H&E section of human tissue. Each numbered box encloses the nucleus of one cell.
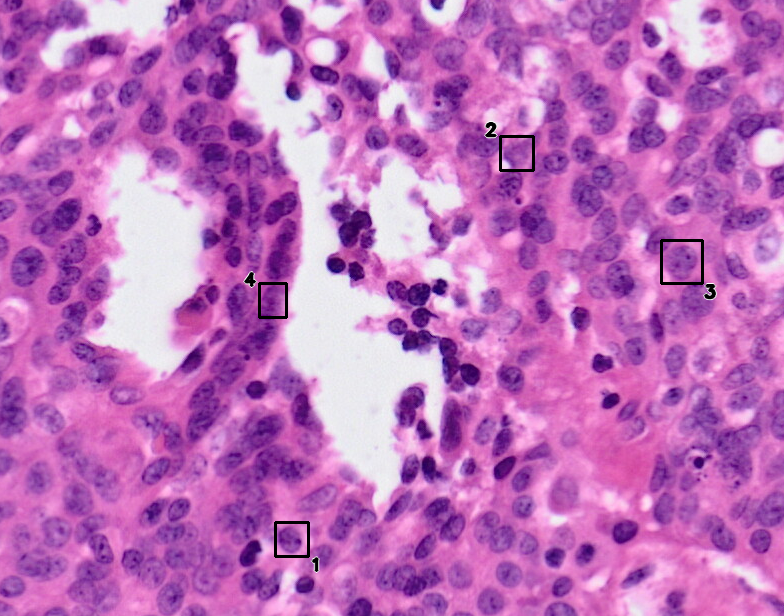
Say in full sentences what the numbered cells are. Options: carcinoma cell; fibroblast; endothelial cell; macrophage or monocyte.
Cell 1 is a macrophage or monocyte. Cells 2, 3 and 4 are carcinoma cells.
